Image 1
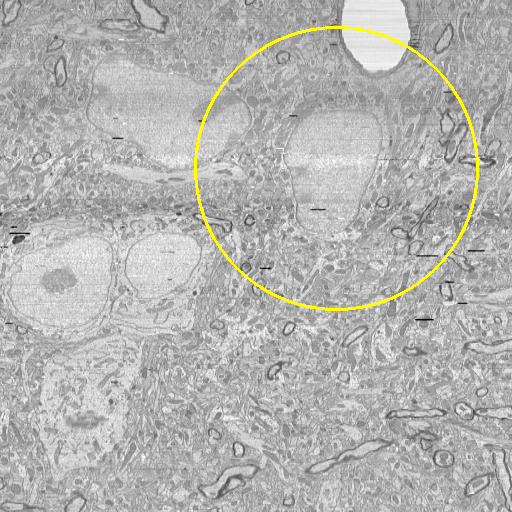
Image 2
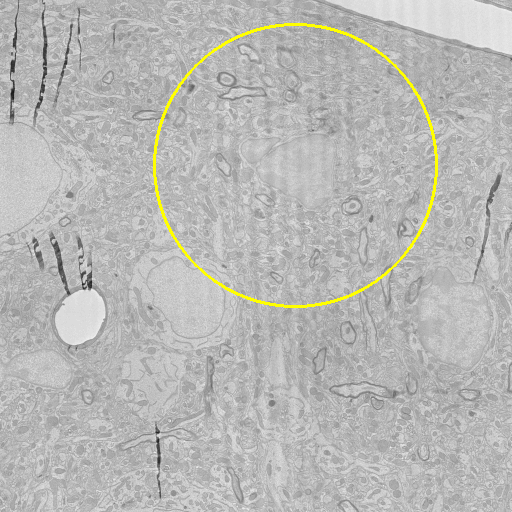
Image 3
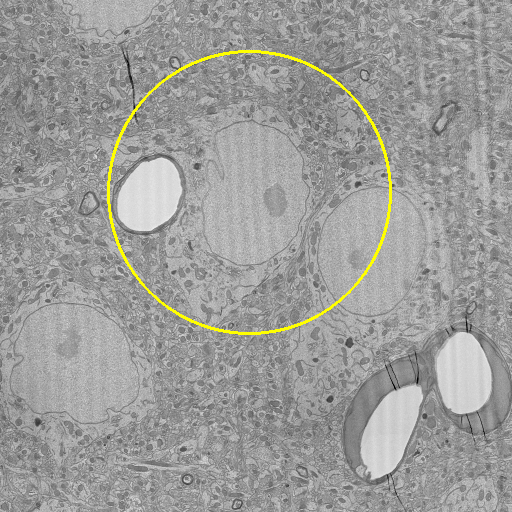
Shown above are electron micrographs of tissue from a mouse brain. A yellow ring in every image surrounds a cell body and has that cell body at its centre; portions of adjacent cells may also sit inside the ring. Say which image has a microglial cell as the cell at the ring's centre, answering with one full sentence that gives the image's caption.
The image whose ring is centred on the requested cell is Image 2.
